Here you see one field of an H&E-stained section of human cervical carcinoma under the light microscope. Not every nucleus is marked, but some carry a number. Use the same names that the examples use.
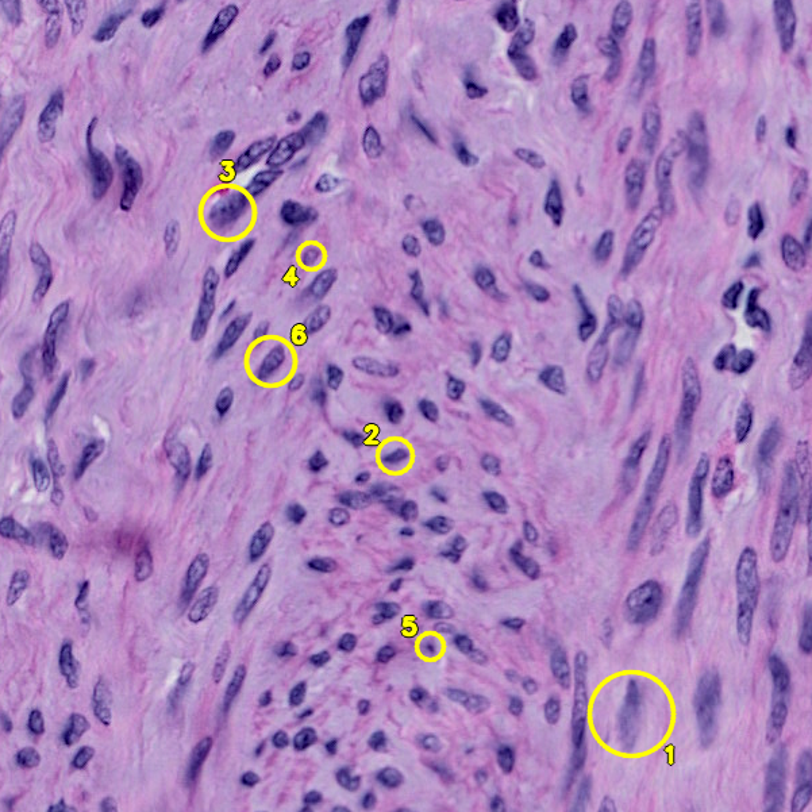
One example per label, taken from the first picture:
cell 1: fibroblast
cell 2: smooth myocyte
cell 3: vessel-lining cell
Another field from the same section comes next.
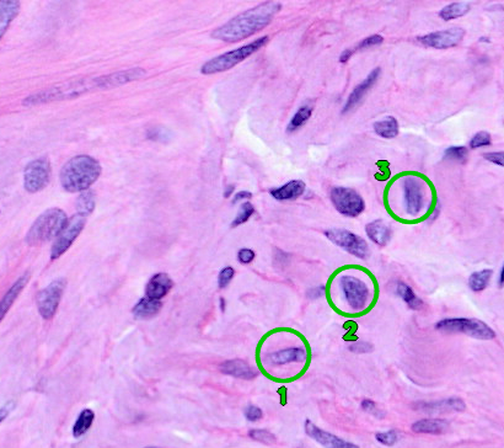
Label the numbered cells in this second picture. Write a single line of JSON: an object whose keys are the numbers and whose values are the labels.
{"1": "smooth myocyte", "2": "fibroblast", "3": "fibroblast"}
